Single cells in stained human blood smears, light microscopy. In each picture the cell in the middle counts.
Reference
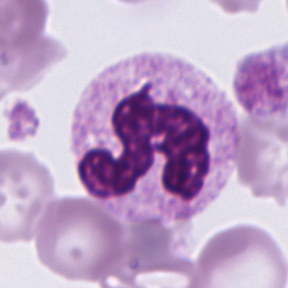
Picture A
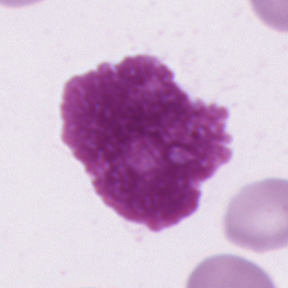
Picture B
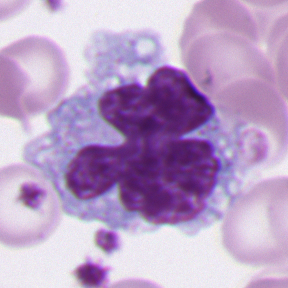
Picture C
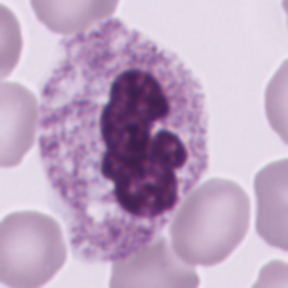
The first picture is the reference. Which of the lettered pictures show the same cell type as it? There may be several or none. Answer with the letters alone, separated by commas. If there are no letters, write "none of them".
C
